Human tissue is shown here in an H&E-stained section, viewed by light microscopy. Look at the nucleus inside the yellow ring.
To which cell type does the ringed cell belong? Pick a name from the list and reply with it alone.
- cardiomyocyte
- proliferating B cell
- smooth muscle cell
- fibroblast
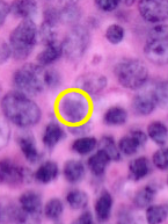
proliferating B cell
